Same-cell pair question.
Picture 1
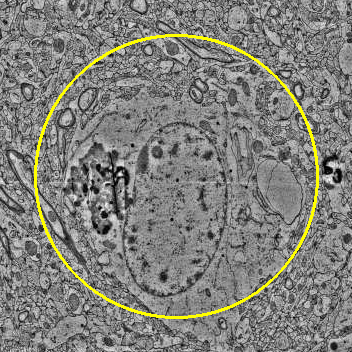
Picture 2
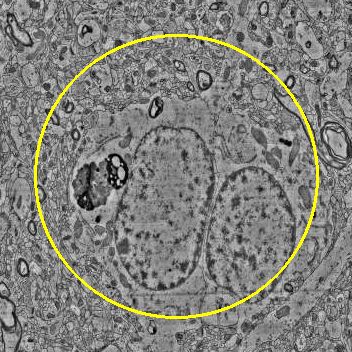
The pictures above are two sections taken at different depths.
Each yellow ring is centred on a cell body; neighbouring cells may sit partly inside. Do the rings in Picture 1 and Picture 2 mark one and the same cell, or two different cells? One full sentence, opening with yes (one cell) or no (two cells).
Yes, these two rings point to one cell rather than two.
